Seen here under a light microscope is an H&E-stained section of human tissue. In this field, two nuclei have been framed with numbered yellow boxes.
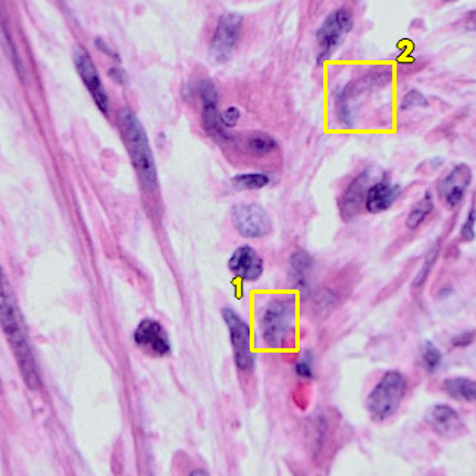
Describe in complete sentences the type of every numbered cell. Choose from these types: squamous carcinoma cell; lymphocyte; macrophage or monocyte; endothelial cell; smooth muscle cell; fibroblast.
Cell 1 is an endothelial cell and cell 2 is a fibroblast.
